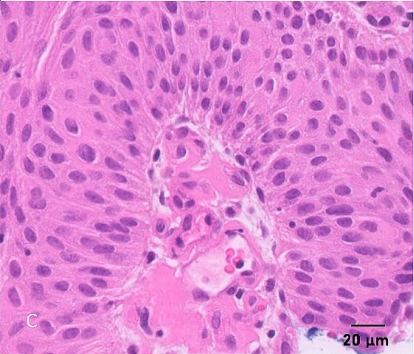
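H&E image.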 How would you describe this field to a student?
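This is a papillary urothelial tumour cut through its stalk, a fibrovascular core. In the middle runs a band of pink connective tissue holding a small vessel with a few red blood cells. Around it, many layers of urothelial cells are stacked, their oval, fairly uniform purple nuclei lined up with their long axes pointing toward the core, like a streaming palisade. The cytoplasm is pale pink and the cell borders are soft. Nuclei look much alike in size and shape, and the overall arrangement stays orderly, the picture of a low grade tumour.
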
